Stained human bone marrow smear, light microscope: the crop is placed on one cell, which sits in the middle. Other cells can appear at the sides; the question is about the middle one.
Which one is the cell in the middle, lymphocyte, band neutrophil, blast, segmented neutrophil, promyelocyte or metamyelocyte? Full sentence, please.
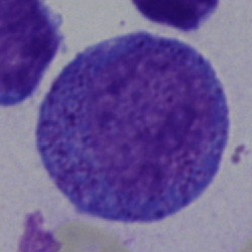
Located at the centre of the crop is a promyelocyte.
